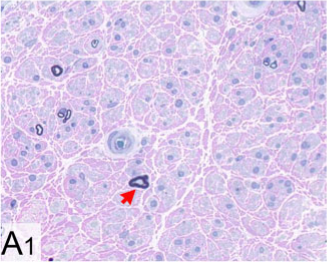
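A cross-section of a peripheral nerve fascicle shows only a few scattered myelinated fibres, seen as rings with dark blue sheaths around pale centres, among many pale pink and grey-blue rounded profiles. One of the larger myelinated fibres has a thick, dark, somewhat irregular sheath. Small round grey-blue nuclei are scattered between the profiles, and a thin pale cleft runs through the tissue.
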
